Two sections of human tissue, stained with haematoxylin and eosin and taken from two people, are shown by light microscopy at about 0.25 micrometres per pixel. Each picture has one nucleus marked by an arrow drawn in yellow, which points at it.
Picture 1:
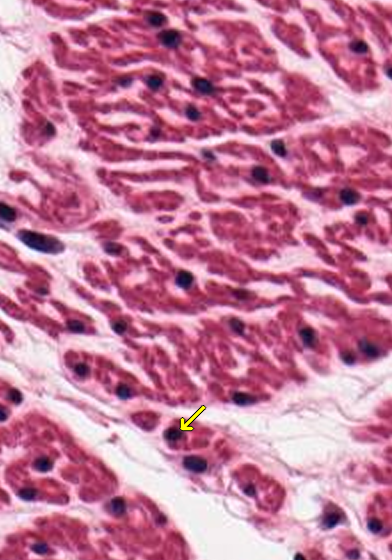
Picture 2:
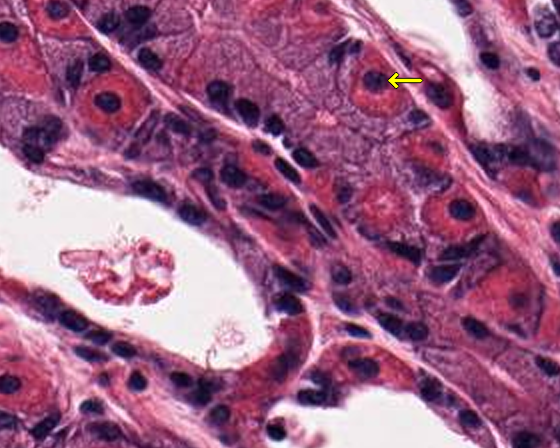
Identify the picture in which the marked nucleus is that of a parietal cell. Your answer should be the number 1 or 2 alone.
2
